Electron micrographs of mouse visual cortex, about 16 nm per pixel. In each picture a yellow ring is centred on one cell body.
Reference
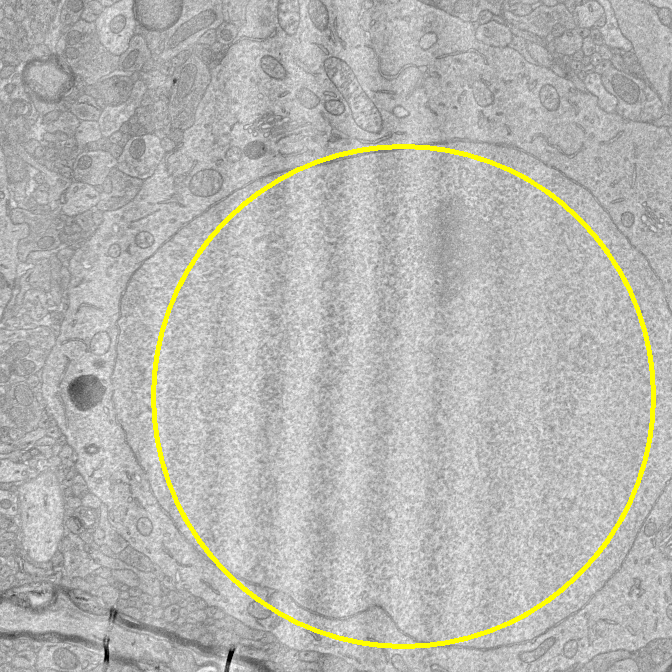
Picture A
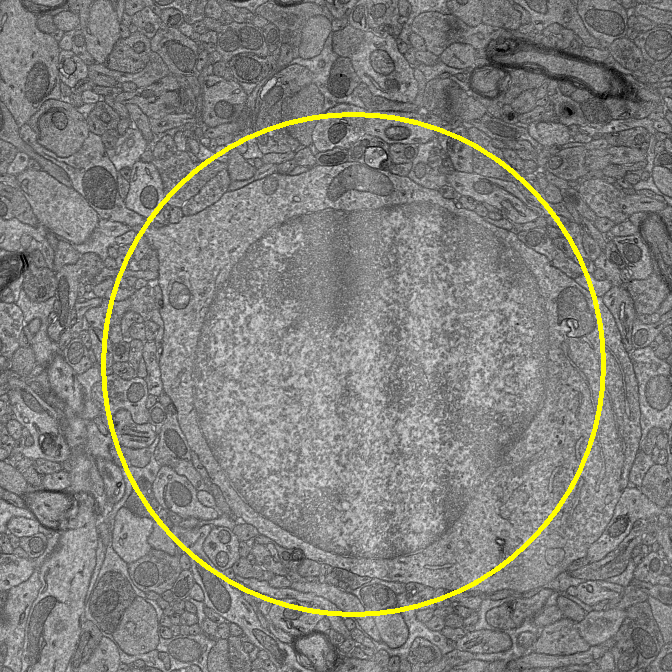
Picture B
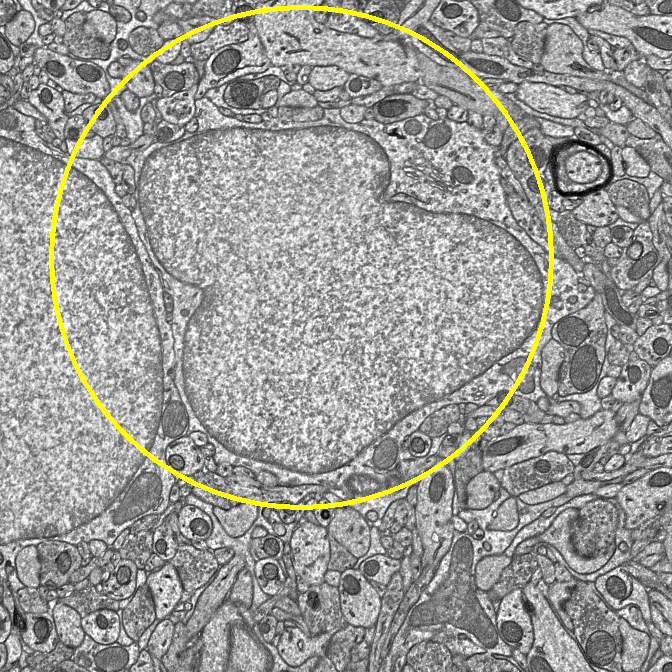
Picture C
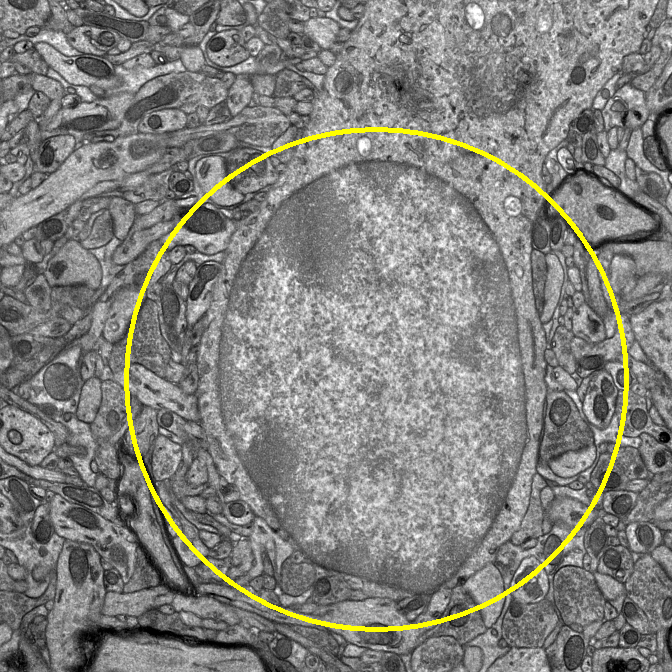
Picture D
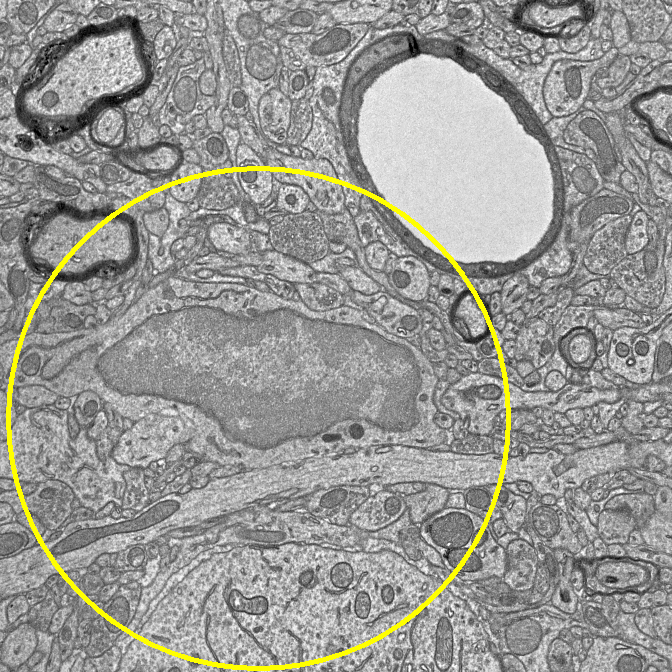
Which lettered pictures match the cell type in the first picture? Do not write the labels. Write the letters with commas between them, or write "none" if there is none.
none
